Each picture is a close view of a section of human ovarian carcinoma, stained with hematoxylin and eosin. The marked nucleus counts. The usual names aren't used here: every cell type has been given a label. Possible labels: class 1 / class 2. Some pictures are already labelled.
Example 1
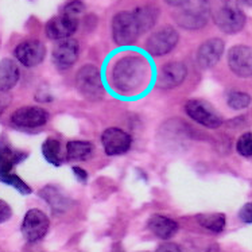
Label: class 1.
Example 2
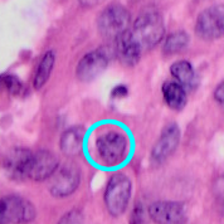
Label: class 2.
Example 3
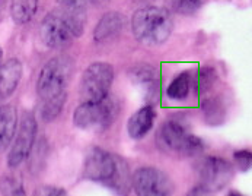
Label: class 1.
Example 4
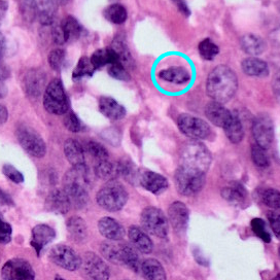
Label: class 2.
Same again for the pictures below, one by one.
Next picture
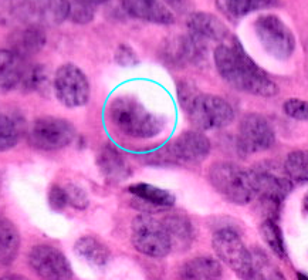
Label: class 1.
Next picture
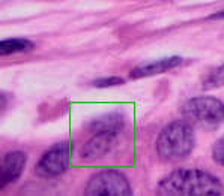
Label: class 1.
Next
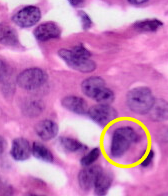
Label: class 1.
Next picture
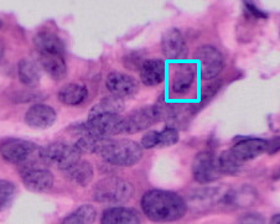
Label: class 1.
